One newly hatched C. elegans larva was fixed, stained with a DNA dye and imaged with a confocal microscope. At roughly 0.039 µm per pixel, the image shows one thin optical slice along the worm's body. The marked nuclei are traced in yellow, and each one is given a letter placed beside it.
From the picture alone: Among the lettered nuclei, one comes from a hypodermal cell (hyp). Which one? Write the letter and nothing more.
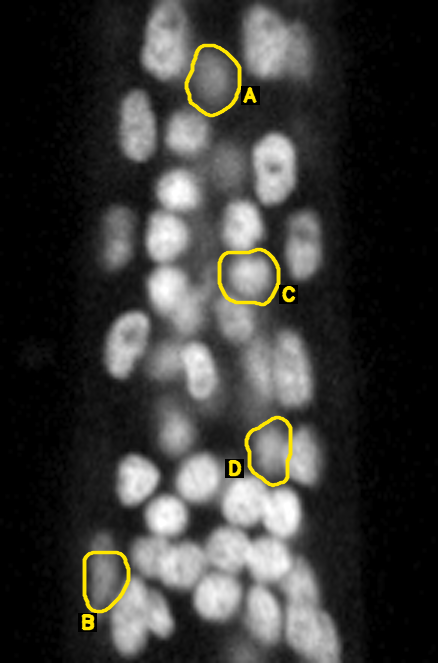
C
